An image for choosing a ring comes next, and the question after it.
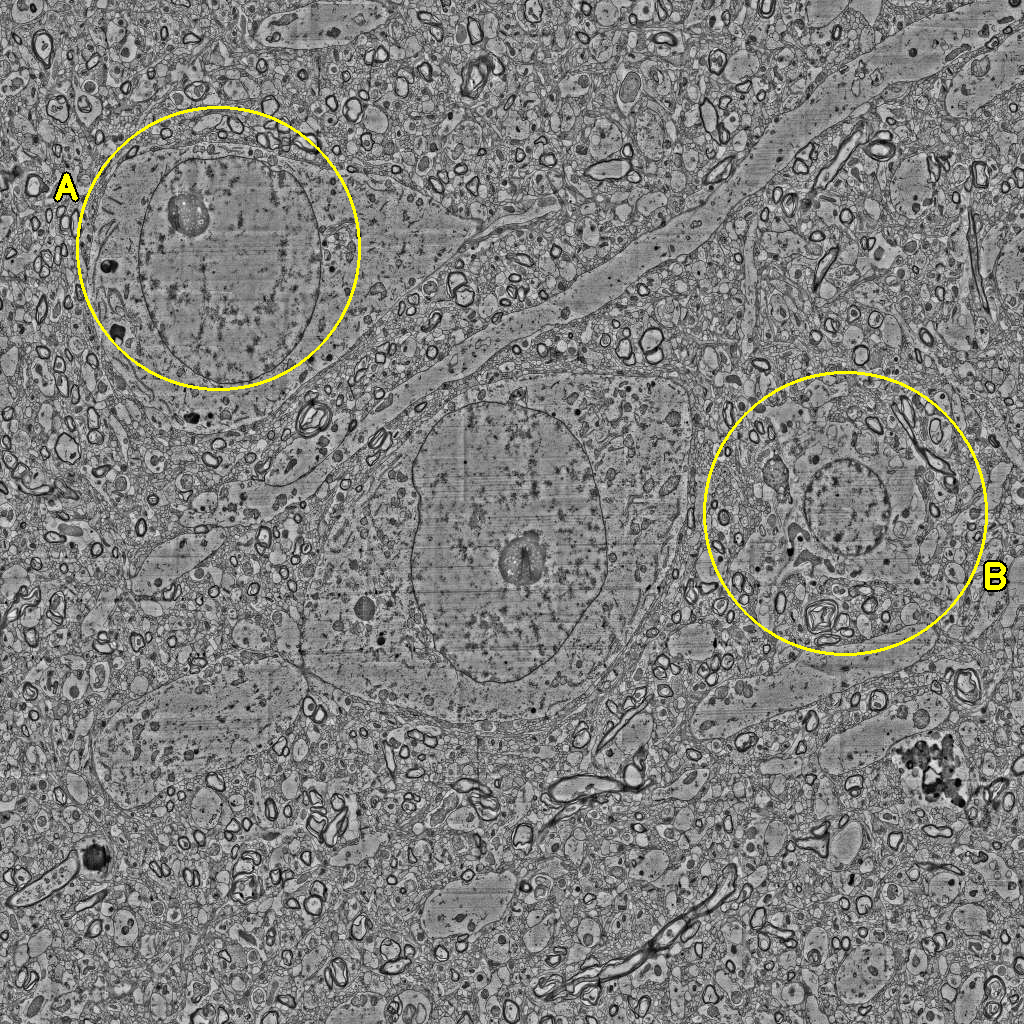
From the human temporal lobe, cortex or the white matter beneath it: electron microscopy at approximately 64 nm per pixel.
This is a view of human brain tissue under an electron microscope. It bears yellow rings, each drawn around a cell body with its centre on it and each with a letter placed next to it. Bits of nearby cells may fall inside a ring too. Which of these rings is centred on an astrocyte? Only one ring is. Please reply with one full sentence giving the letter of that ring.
Of all the lettered rings, B is the one centred on a cell of that kind.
